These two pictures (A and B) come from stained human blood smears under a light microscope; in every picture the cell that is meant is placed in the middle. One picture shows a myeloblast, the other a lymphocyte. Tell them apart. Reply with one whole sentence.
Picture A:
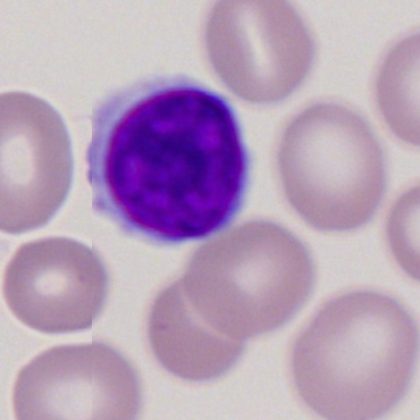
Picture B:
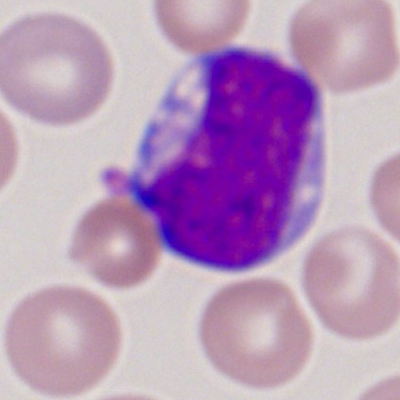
In picture A the cell is a lymphocyte; in picture B, a myeloblast.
